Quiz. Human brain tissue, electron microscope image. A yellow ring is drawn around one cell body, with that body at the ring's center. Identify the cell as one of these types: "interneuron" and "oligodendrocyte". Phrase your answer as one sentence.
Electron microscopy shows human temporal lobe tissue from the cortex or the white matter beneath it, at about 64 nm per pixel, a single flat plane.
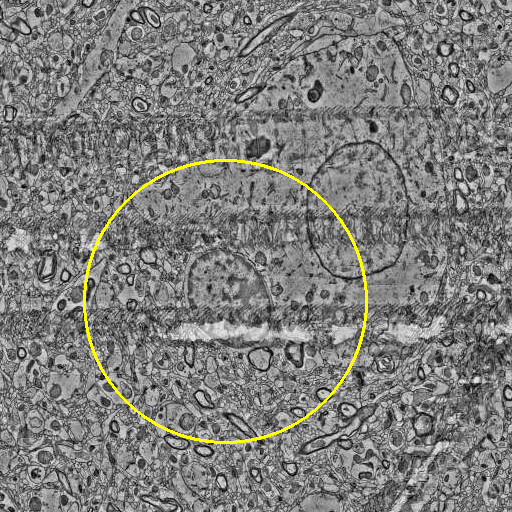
At the center of the ring sits an oligodendrocyte.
